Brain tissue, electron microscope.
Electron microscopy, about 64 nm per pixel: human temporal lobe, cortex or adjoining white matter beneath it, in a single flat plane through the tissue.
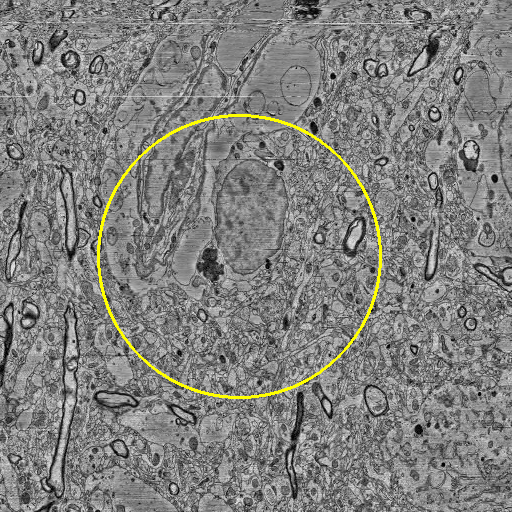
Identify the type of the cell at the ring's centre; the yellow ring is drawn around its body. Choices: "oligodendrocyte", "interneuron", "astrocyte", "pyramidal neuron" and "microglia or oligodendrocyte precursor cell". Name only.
oligodendrocyte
